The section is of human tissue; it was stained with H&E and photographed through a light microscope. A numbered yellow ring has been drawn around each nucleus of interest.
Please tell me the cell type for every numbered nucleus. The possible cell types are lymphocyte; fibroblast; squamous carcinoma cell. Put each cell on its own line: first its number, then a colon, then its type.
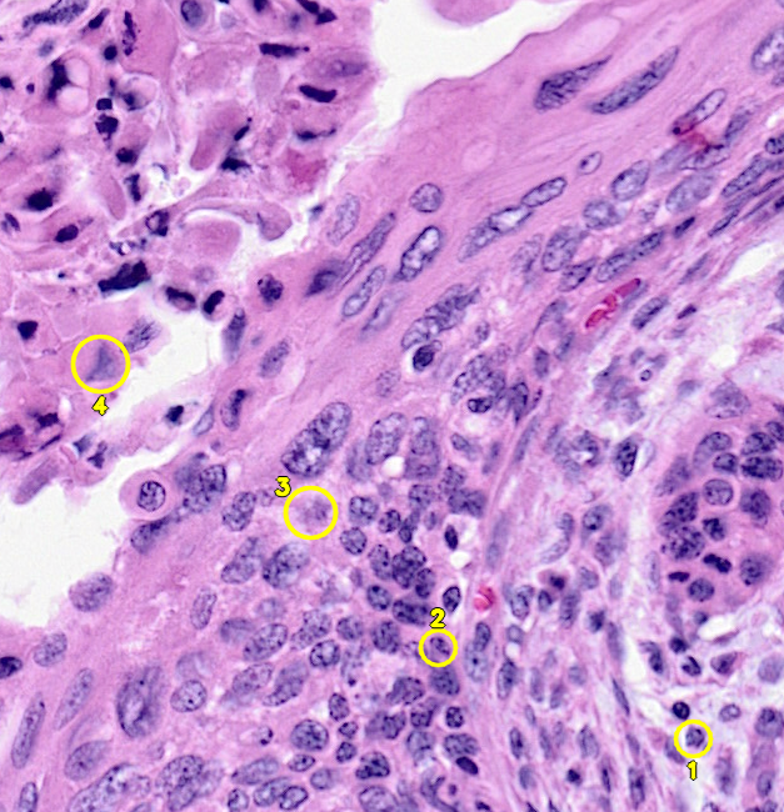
1: lymphocyte
2: squamous carcinoma cell
3: squamous carcinoma cell
4: squamous carcinoma cell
